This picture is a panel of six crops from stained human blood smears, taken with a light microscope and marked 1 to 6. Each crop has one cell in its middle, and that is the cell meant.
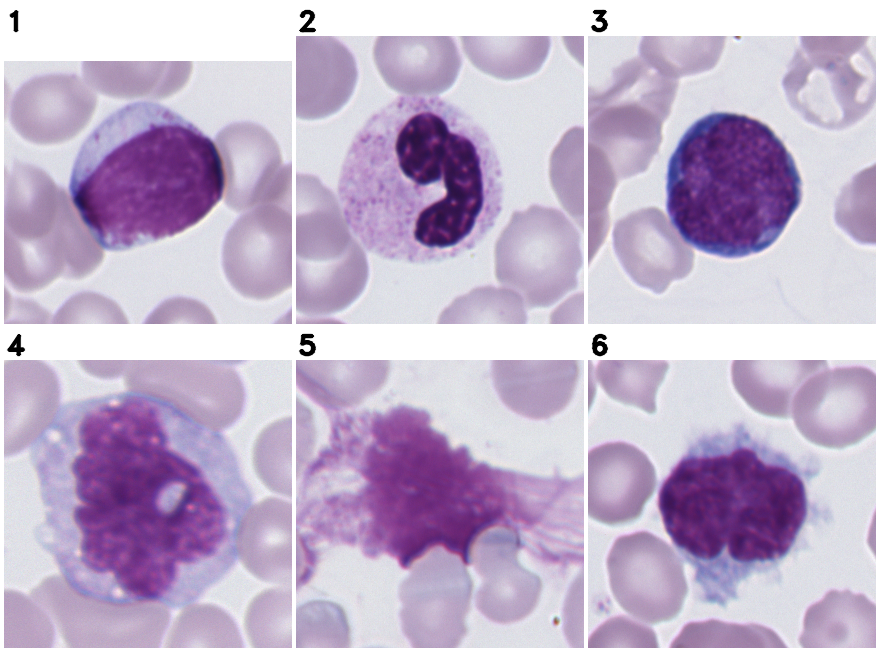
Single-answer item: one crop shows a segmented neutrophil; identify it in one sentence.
In the set of crops, crop 2 is the one that contains a segmented neutrophil.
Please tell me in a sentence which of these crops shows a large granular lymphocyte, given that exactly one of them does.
Look at crop 1; that is the one with a large granular lymphocyte in its center.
